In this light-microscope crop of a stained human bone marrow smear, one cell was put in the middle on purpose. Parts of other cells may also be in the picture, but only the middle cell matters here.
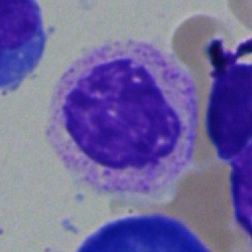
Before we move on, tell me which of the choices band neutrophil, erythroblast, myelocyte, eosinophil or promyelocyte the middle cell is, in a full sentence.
At the crop's centre, the cell is a myelocyte.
